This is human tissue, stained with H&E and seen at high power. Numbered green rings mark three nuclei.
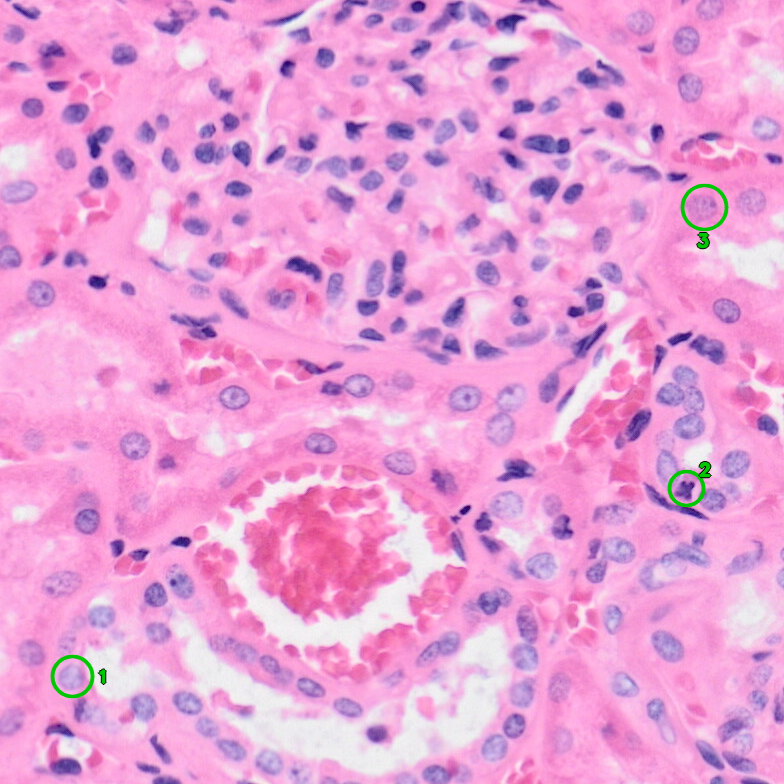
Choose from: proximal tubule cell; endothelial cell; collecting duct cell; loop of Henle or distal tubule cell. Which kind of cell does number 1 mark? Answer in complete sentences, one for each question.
The cell pointed out as number 1 is a collecting duct cell.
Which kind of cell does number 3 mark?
The cell identified by number 3 is a proximal tubule cell.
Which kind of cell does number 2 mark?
Number 2 is placed on a collecting duct cell here.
